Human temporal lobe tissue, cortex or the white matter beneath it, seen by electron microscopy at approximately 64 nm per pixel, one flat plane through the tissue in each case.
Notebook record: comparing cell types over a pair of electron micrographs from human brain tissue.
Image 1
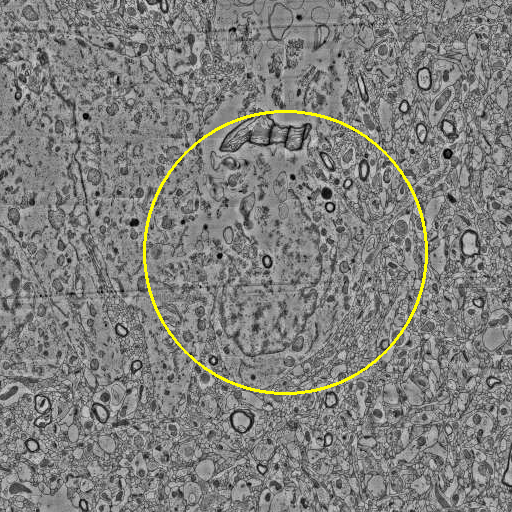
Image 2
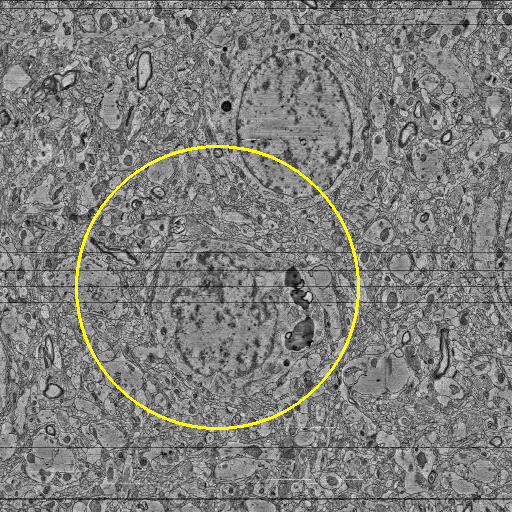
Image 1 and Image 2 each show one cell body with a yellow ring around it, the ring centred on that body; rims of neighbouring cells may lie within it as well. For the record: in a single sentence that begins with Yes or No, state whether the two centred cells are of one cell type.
Yes, one cell type is shared by the centred cells of Image 1 and Image 2.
